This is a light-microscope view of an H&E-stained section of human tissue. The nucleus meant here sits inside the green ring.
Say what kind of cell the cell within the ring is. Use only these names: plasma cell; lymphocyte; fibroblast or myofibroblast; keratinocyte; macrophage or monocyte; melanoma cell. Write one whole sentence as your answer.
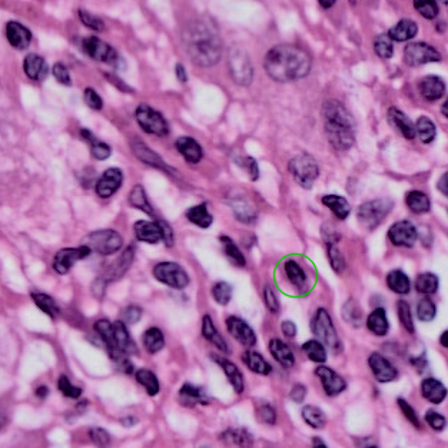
Cytologically, the cell within the ring is to be regarded as a plasma cell.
